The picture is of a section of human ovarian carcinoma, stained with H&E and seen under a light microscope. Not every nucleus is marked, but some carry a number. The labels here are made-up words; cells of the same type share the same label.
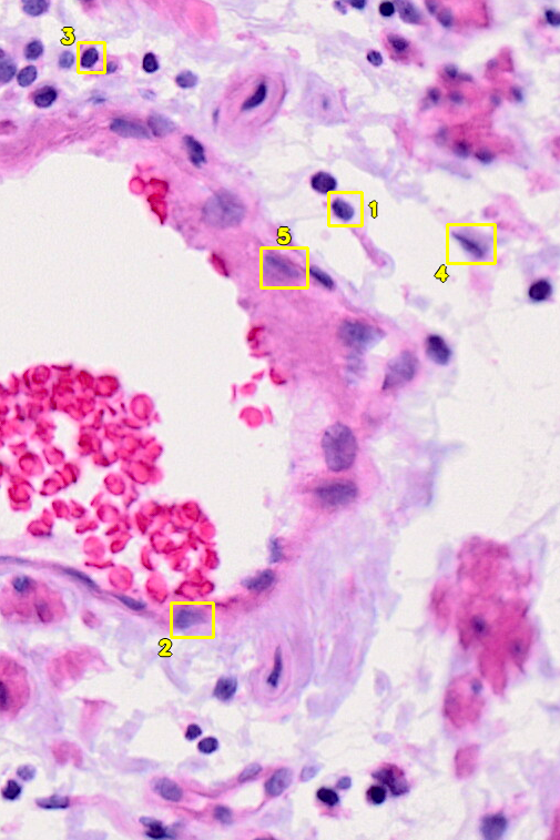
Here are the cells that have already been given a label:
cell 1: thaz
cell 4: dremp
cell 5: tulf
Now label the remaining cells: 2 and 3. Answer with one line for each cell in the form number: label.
2: tulf
3: thaz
